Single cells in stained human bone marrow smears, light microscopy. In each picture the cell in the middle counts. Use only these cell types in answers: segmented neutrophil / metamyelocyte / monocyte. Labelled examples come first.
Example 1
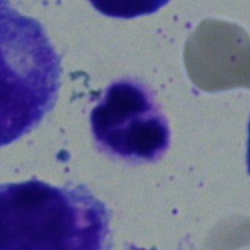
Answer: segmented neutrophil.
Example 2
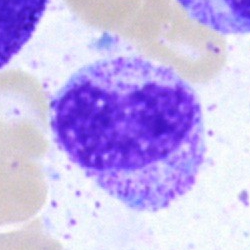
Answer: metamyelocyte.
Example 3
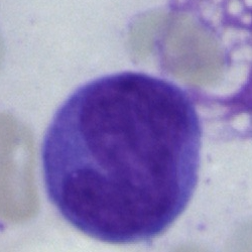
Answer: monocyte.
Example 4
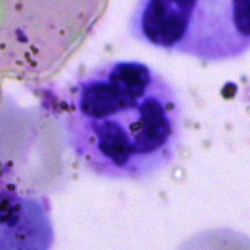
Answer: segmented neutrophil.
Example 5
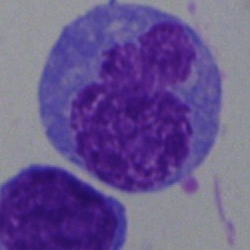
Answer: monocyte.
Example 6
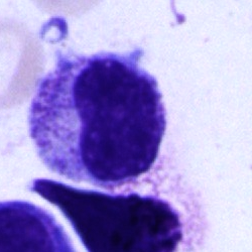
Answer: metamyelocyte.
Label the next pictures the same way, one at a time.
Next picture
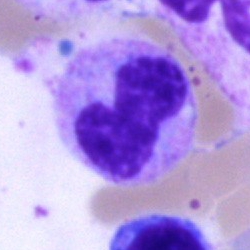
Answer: monocyte.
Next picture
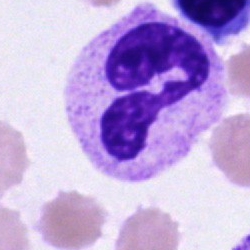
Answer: segmented neutrophil.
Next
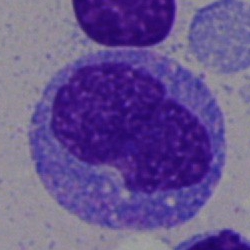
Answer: monocyte.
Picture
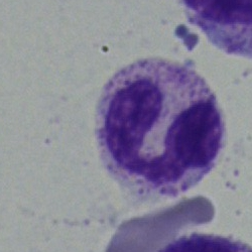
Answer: segmented neutrophil.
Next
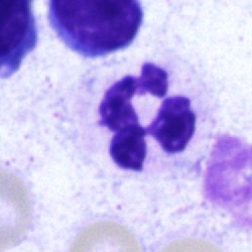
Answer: segmented neutrophil.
